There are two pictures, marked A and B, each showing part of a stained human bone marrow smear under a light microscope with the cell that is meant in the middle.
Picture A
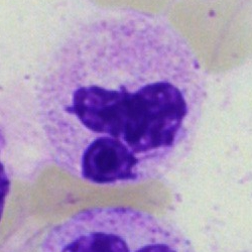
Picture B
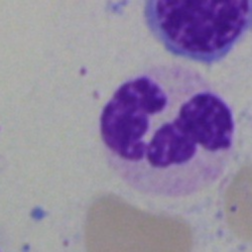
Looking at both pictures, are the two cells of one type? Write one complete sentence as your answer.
Yes; the cells in both pictures are segmented neutrophils.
